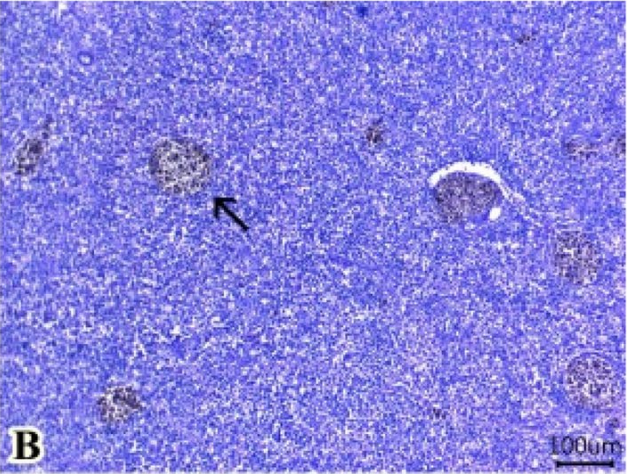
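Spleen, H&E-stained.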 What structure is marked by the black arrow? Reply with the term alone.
Melanomacrophage centers.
